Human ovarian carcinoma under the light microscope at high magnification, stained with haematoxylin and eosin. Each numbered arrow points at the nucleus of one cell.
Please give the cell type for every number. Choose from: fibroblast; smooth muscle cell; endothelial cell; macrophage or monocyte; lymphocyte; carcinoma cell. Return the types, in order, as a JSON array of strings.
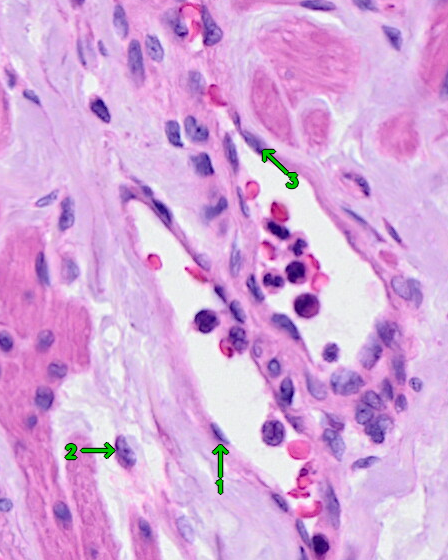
["endothelial cell", "fibroblast", "endothelial cell"]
